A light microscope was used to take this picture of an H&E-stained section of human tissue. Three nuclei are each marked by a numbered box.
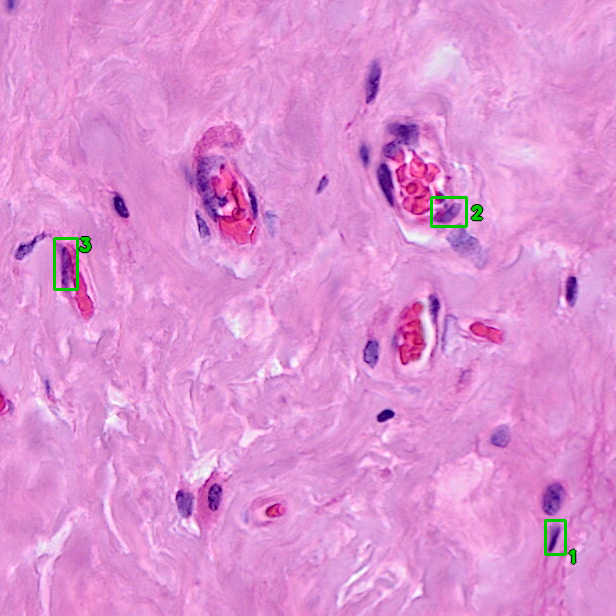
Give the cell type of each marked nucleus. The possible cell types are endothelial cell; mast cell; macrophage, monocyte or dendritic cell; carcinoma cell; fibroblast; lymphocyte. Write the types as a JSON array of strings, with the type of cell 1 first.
["fibroblast", "endothelial cell", "endothelial cell"]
